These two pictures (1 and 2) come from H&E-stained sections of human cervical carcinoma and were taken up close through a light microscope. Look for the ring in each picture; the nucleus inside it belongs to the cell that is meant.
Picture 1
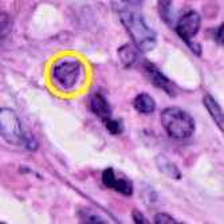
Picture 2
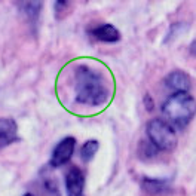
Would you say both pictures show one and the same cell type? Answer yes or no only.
yes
